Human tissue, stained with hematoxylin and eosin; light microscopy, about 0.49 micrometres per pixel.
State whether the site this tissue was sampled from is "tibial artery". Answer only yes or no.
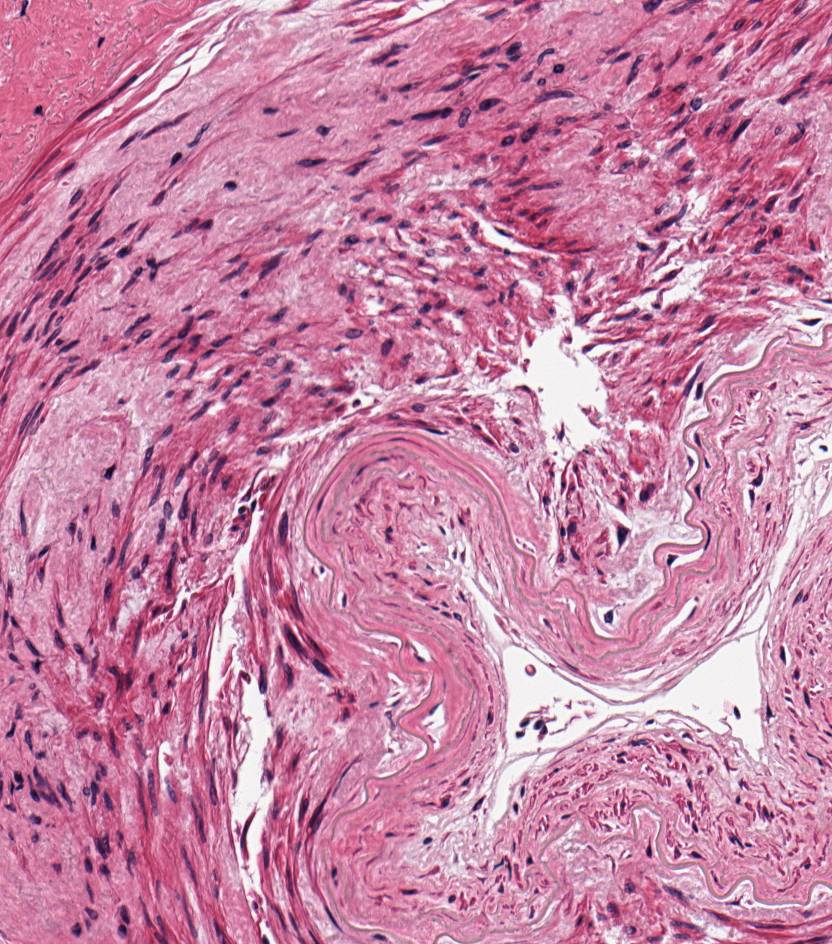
yes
